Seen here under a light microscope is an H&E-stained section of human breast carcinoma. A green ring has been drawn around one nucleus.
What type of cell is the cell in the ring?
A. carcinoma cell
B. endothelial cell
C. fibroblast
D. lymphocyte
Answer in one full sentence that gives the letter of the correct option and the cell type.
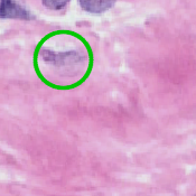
Identified correctly by option C, the cell in the ring is a fibroblast.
